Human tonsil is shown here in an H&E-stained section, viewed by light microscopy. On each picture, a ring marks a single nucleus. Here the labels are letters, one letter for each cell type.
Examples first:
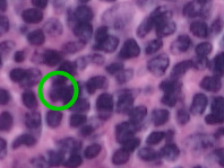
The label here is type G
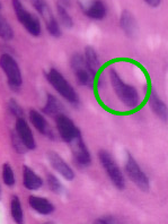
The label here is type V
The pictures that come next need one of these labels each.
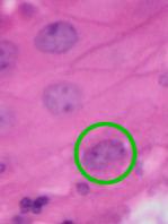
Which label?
type V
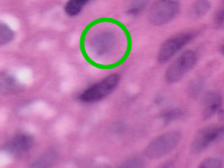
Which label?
type V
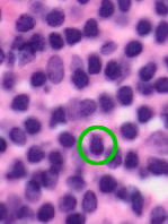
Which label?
type G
